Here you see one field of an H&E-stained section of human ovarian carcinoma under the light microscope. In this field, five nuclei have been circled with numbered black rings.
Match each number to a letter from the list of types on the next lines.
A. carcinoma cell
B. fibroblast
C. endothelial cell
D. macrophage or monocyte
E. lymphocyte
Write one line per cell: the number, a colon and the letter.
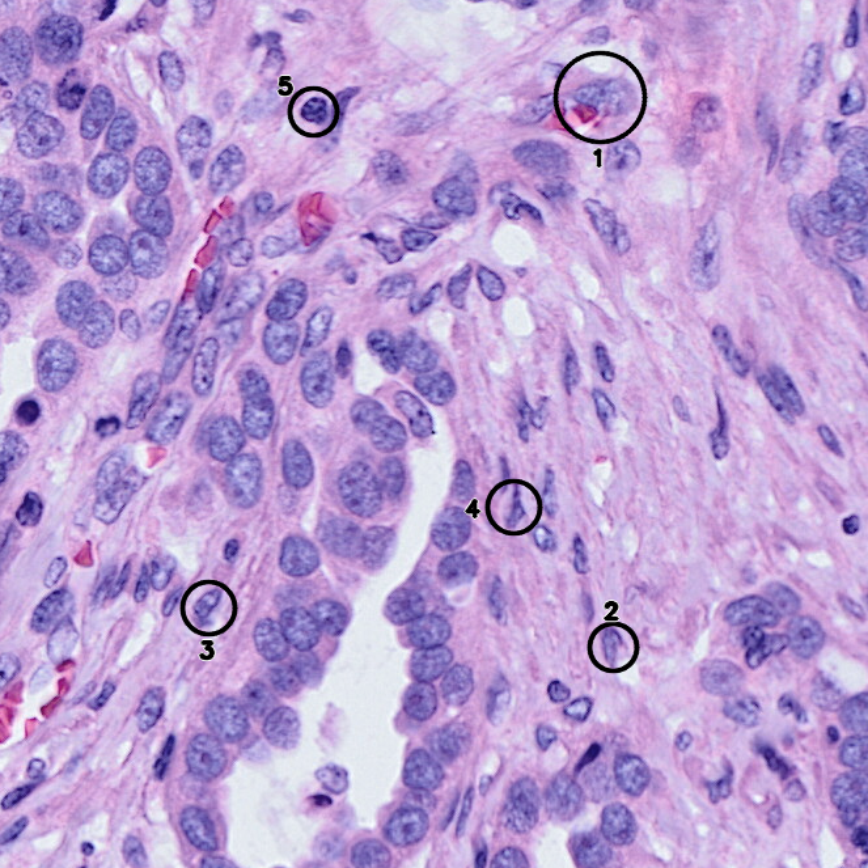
1: C
2: B
3: B
4: B
5: E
